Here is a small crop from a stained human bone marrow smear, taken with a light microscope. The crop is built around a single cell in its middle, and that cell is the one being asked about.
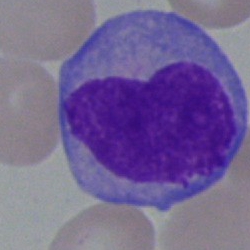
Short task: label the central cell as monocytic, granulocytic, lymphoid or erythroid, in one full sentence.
The cell at the center is a representative of the monocytic lineage.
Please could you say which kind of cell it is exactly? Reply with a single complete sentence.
The cell marked by its central position in the crop is a monocyte.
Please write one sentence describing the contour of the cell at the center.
Its outline is smooth, with no projections anywhere along the edge.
